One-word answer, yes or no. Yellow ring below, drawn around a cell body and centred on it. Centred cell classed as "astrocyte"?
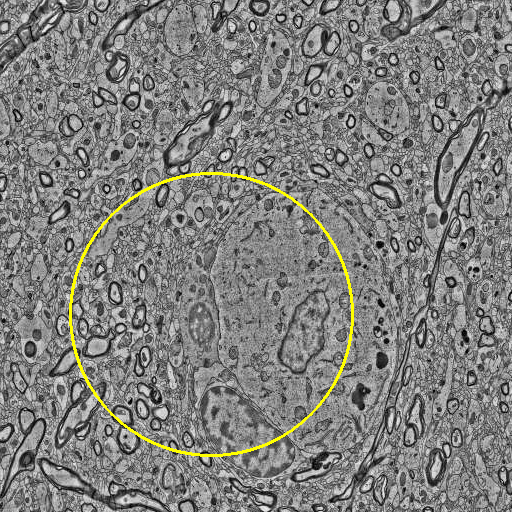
no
